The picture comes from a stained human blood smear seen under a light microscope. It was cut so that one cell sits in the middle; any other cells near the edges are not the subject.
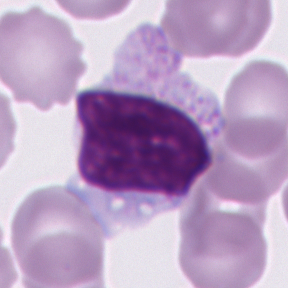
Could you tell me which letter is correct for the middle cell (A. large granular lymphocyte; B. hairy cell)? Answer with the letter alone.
A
